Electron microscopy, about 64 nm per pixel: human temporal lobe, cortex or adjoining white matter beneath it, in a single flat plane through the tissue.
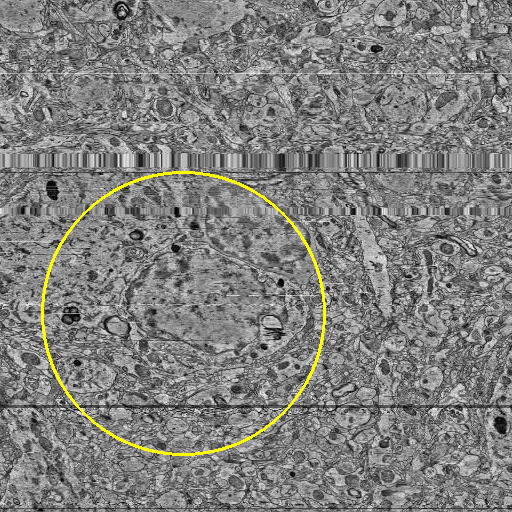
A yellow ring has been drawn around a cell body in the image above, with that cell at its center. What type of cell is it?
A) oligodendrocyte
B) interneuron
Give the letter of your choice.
B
